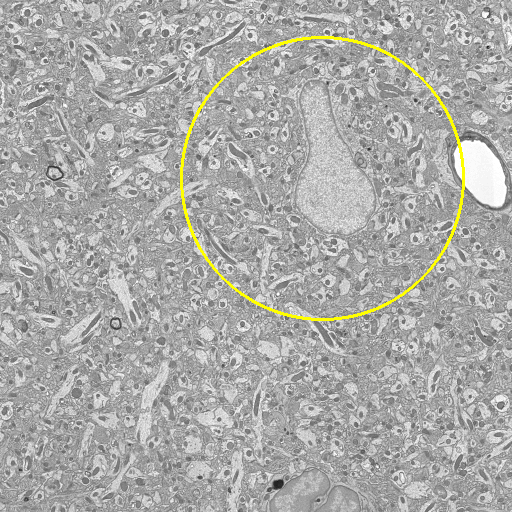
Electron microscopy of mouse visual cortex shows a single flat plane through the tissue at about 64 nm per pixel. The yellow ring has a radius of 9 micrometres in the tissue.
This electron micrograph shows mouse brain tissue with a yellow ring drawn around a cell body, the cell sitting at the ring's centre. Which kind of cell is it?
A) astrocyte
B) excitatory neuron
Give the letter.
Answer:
A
